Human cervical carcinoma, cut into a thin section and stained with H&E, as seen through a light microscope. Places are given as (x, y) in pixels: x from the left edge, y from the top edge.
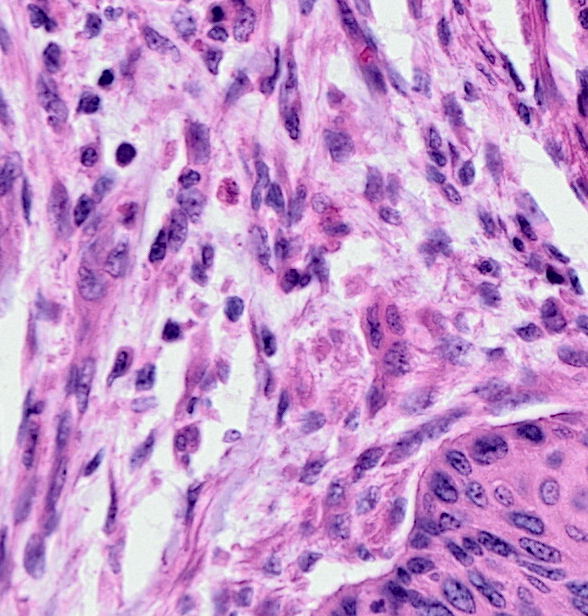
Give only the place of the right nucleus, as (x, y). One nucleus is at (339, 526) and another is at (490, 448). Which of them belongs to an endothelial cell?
(339, 526)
